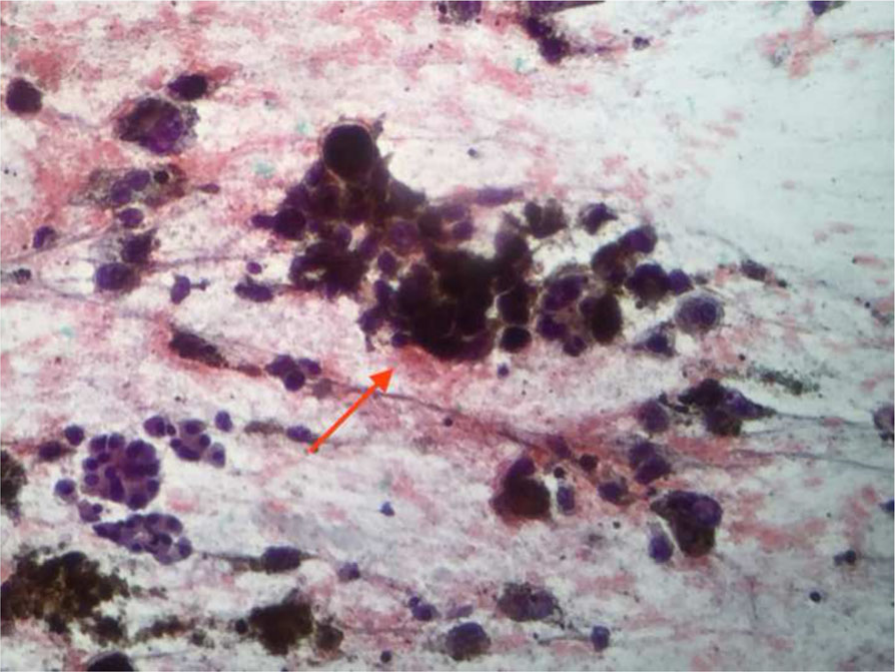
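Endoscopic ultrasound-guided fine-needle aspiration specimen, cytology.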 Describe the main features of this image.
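Many cells have rounded, dark purple nuclei, and several groups are filled with dark brownish-black granular pigment that obscures their detail. The background is a pink-red granular material of blood and necrotic debris.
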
